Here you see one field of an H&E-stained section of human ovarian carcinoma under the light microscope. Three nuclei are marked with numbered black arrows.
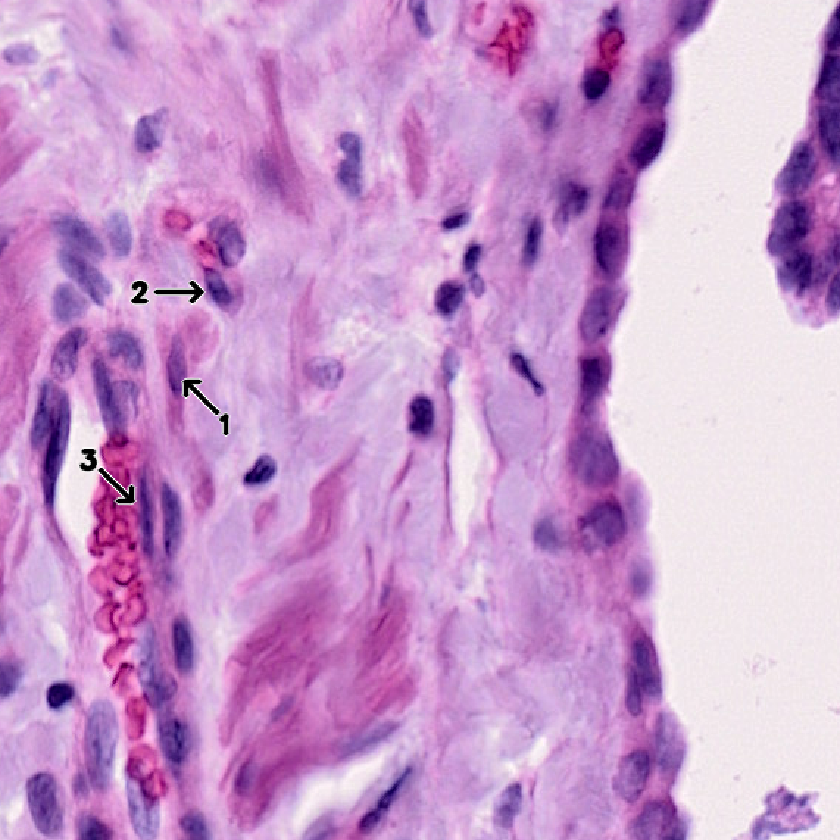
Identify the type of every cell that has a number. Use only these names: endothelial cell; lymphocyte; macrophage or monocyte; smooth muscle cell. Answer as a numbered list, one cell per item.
1. smooth muscle cell
2. endothelial cell
3. endothelial cell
